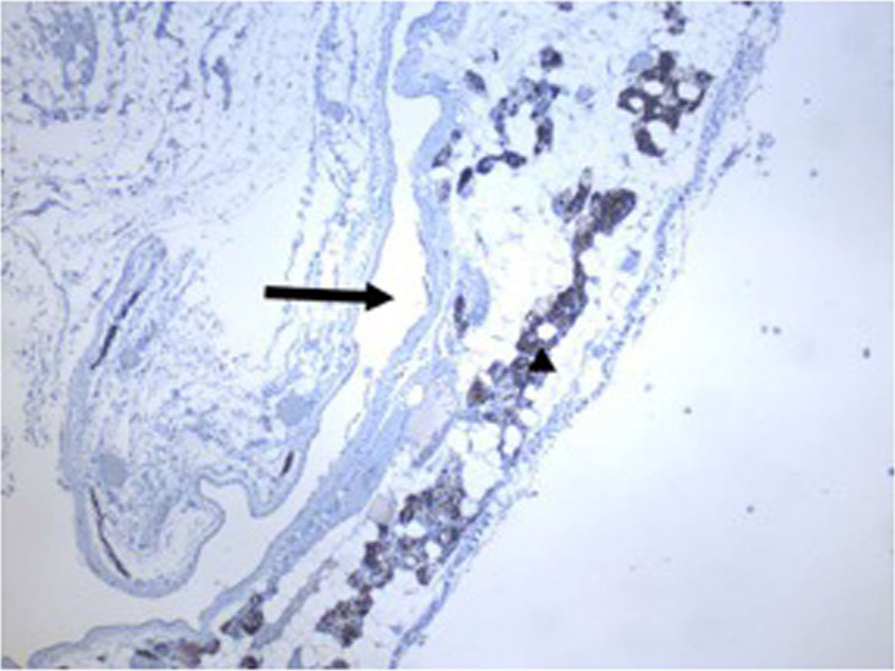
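This is the thin wall of a cyst, and within it lies a band of glandular cells whose cytoplasm is stained dark brown. These brown cells are grouped in small nests and rings, with pale, loosely textured stroma and small clear spaces between the groups. On either side of this band, the wall is made of thin, pale blue fibrous layers without brown staining.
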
